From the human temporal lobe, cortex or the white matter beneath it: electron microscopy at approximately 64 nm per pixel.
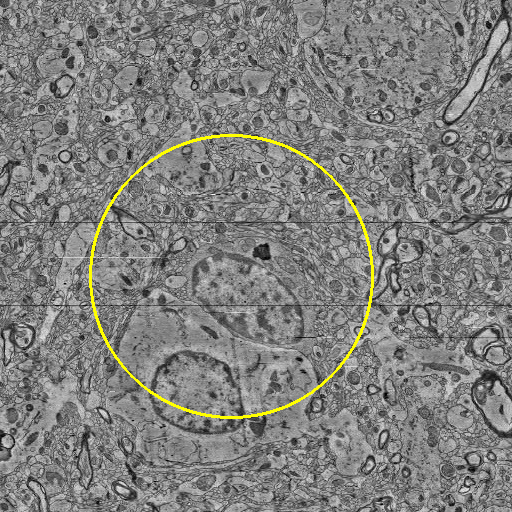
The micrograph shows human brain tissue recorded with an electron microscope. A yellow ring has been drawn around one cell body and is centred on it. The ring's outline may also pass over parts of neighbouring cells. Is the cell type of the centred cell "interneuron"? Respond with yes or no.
no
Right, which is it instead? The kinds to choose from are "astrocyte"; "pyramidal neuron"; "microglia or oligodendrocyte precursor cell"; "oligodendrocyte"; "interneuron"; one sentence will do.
What the ring encloses here is an oligodendrocyte.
